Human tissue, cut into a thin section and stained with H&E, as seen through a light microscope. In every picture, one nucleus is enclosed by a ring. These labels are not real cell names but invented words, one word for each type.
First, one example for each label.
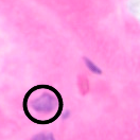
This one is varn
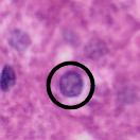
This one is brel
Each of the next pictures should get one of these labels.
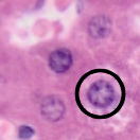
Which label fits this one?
brel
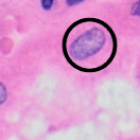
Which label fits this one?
varn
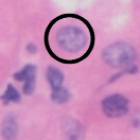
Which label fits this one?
varn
